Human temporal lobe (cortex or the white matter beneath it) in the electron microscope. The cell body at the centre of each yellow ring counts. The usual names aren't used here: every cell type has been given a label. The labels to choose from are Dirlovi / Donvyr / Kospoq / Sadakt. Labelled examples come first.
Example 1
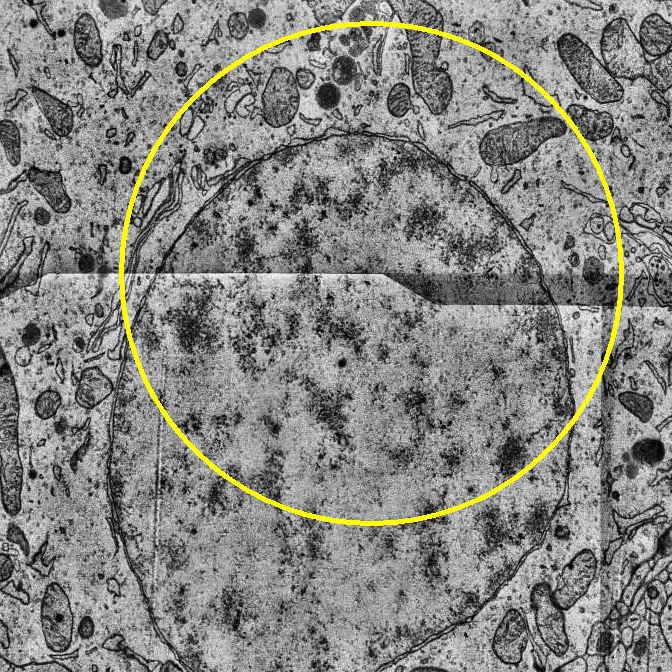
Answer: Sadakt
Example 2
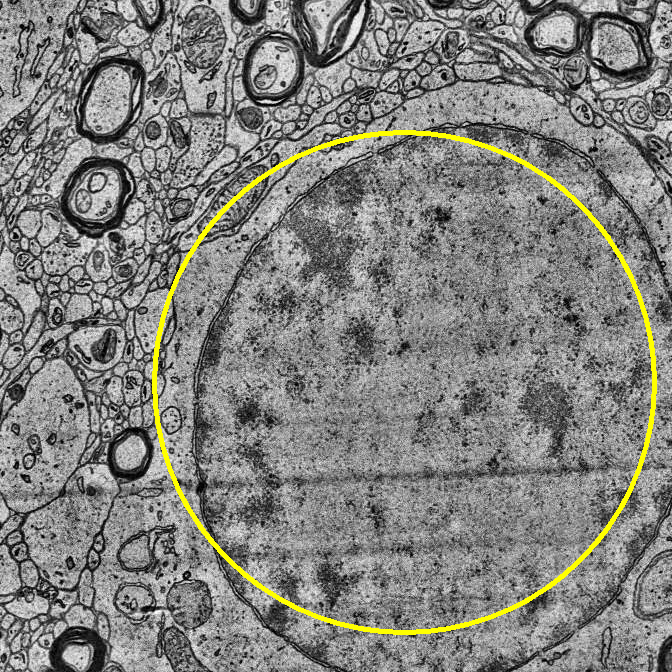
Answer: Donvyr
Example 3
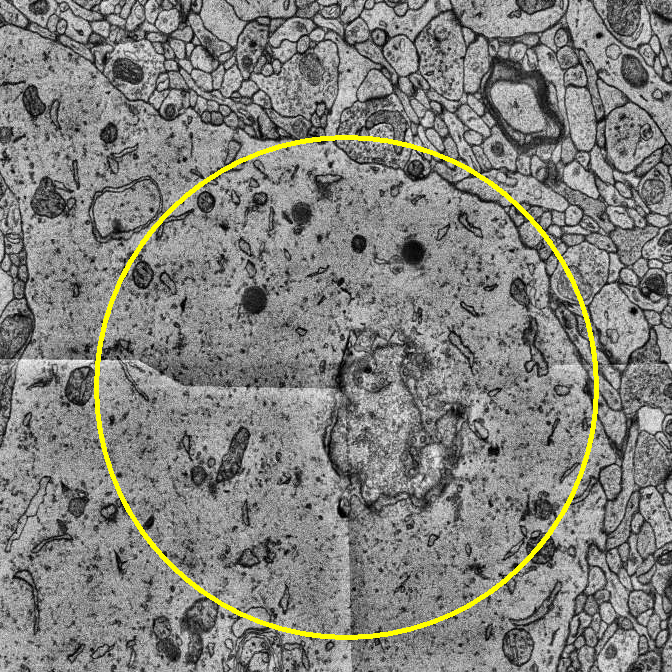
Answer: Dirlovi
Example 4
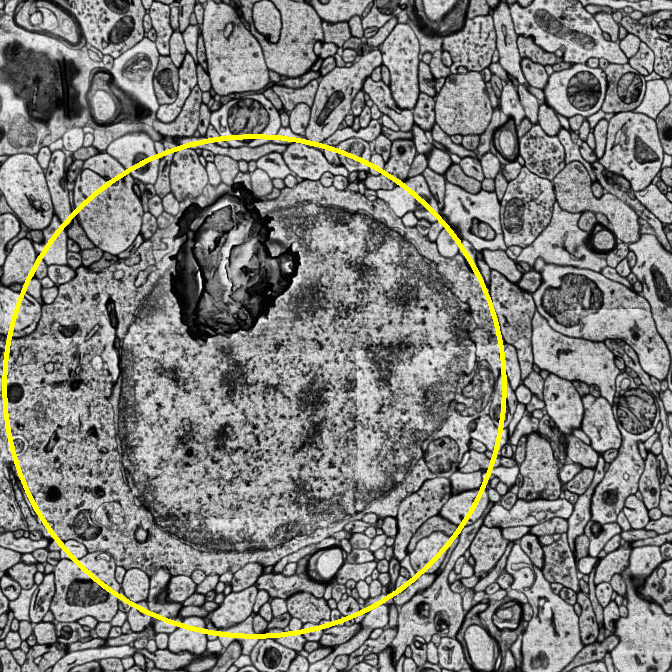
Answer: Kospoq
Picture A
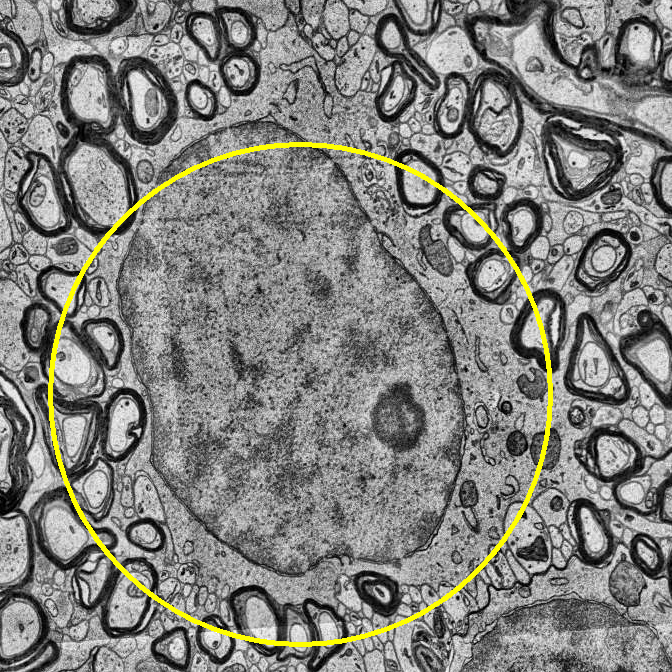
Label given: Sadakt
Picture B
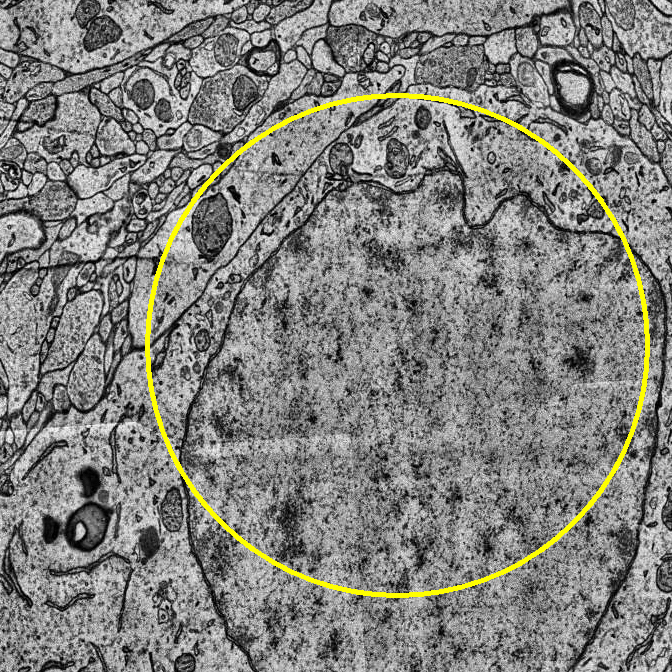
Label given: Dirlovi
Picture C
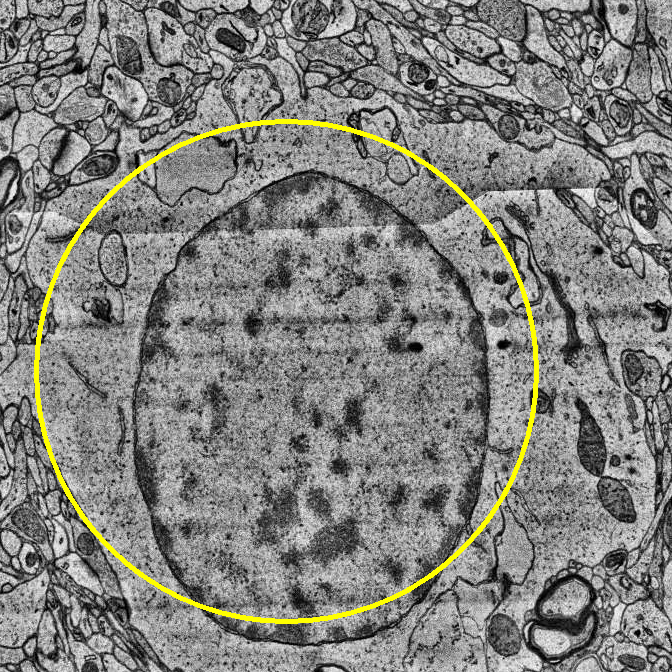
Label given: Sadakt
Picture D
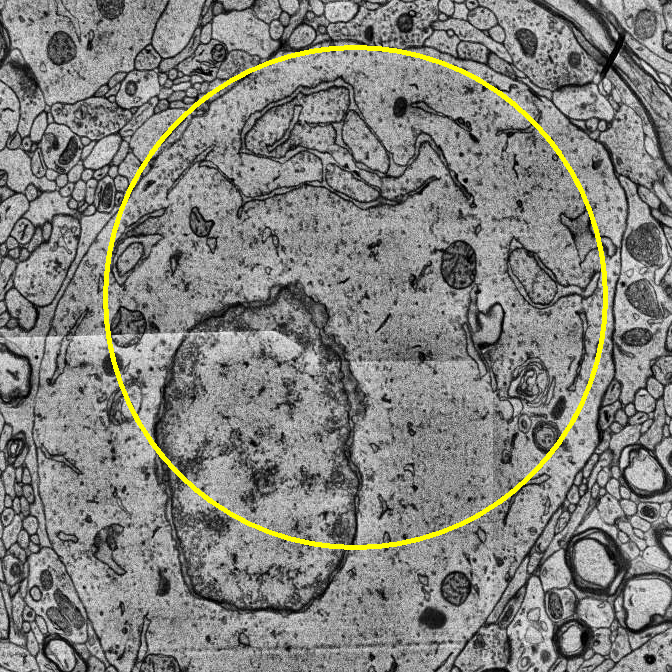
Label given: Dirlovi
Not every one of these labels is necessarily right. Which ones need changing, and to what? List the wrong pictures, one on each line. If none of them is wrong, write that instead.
A: not Sadakt but Kospoq
C: not Sadakt but Donvyr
